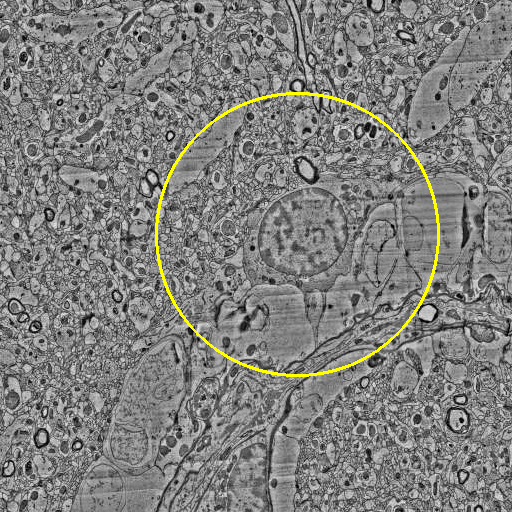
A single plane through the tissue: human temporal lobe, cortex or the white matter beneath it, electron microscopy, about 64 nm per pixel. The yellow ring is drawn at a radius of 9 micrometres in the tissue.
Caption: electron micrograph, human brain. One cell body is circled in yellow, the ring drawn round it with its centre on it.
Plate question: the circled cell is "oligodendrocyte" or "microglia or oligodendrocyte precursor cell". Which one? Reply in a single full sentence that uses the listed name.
The yellow ring on the plate is centred on an oligodendrocyte, going by the listed names.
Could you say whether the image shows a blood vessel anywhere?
Yes, a blood vessel is present in this picture.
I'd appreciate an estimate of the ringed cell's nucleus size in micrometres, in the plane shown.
Approximately 6 micrometres across in this plane.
